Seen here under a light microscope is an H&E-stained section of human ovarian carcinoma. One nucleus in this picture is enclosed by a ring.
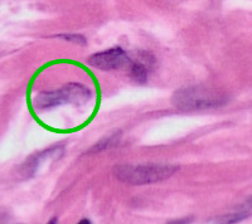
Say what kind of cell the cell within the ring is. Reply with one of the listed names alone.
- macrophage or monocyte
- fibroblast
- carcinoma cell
fibroblast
